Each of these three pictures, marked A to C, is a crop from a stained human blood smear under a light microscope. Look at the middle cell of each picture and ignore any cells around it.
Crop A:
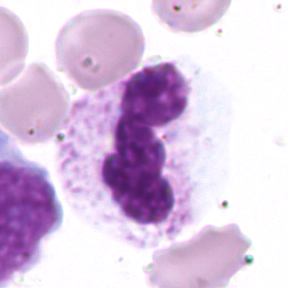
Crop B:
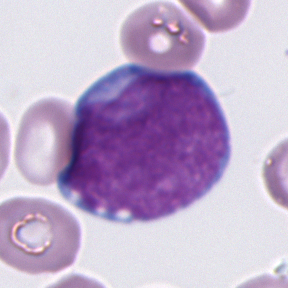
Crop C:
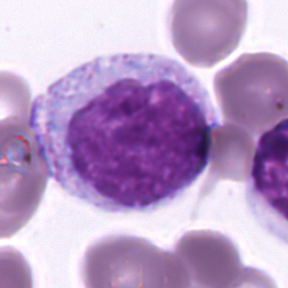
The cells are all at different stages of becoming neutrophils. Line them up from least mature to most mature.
B, C, A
